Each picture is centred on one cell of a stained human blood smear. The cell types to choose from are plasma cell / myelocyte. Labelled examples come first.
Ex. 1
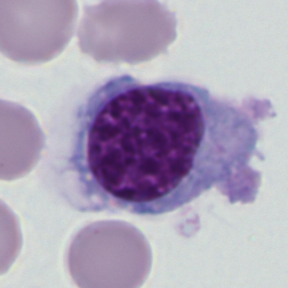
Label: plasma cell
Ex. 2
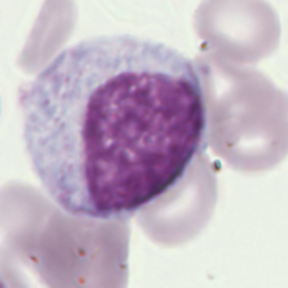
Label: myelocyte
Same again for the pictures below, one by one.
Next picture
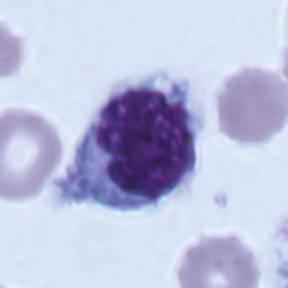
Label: plasma cell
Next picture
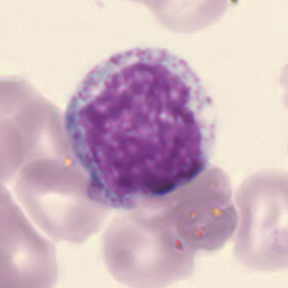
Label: myelocyte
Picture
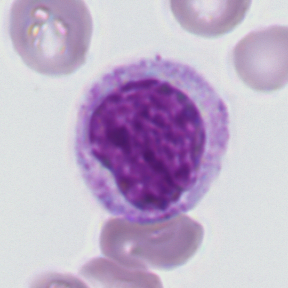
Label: myelocyte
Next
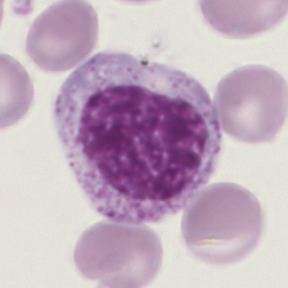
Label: myelocyte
